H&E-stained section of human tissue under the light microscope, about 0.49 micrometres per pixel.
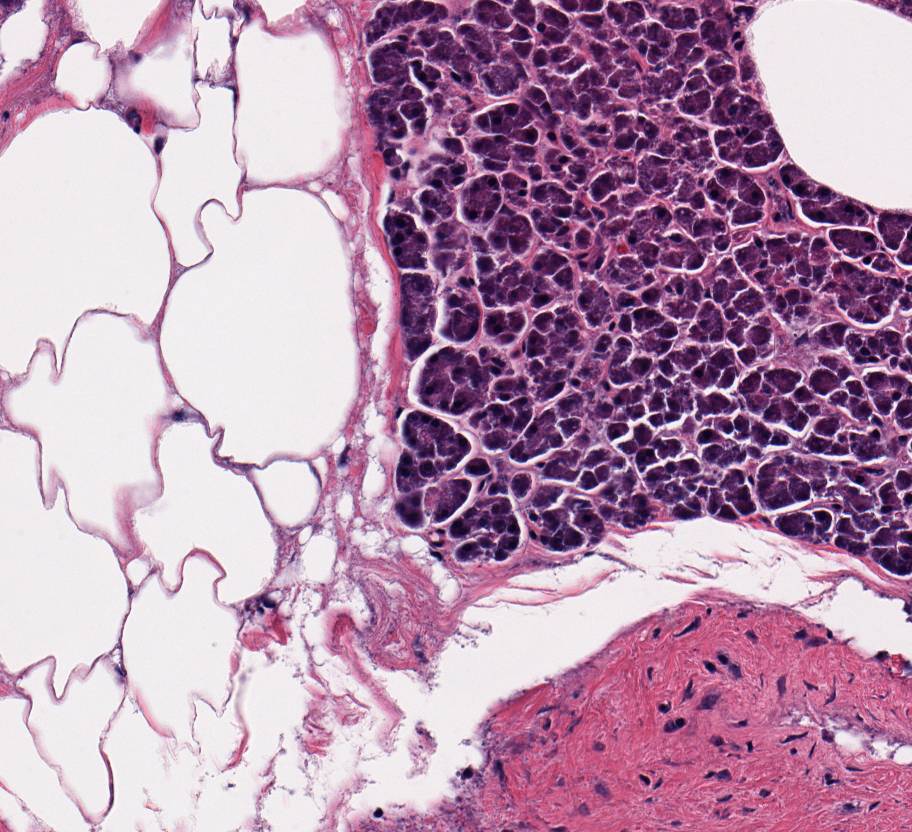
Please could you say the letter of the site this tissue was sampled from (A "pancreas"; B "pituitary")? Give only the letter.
A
